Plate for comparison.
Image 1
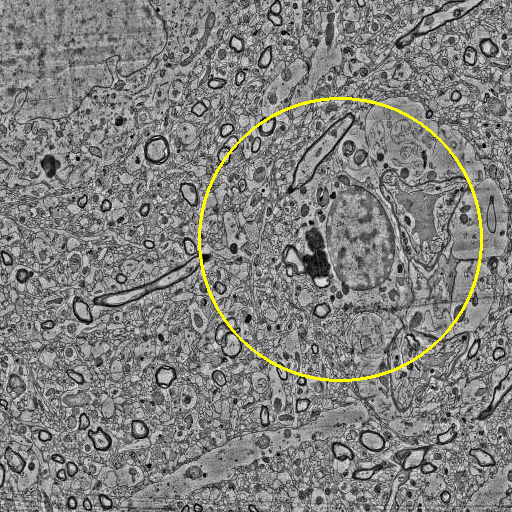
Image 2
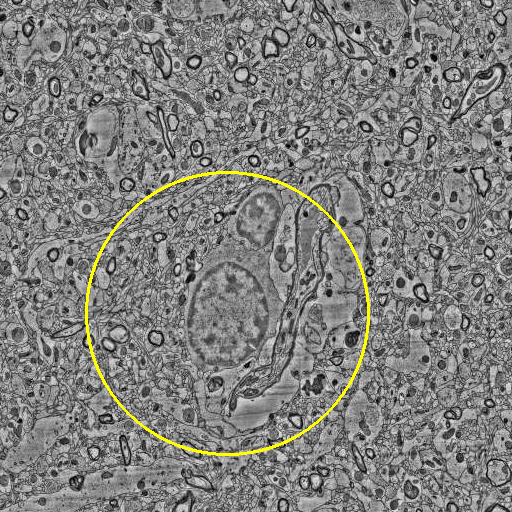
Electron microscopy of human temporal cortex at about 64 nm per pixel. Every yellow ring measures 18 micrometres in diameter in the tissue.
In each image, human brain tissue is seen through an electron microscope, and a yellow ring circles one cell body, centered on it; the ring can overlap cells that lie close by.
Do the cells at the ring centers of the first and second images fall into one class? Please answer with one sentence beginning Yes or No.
Yes, the first and second images show a single class of cell at the ring centers.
